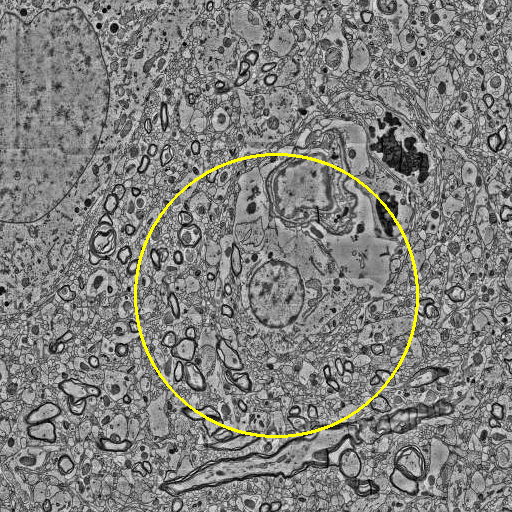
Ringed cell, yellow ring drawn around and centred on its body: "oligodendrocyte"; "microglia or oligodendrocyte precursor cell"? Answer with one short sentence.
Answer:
This ringed cell is a microglial cell or oligodendrocyte precursor cell.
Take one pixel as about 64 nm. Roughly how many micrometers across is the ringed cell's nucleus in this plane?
In this plane, approximately 4 micrometres across.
